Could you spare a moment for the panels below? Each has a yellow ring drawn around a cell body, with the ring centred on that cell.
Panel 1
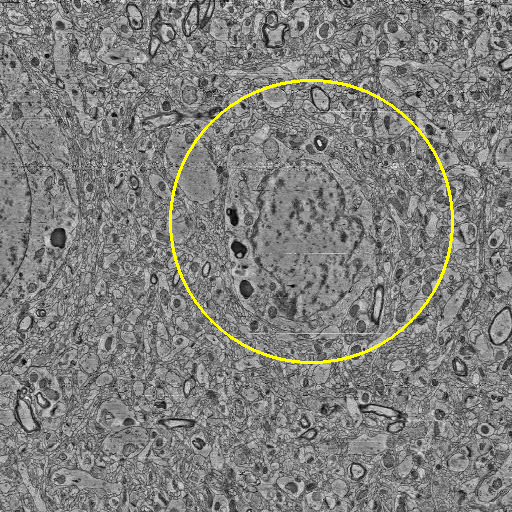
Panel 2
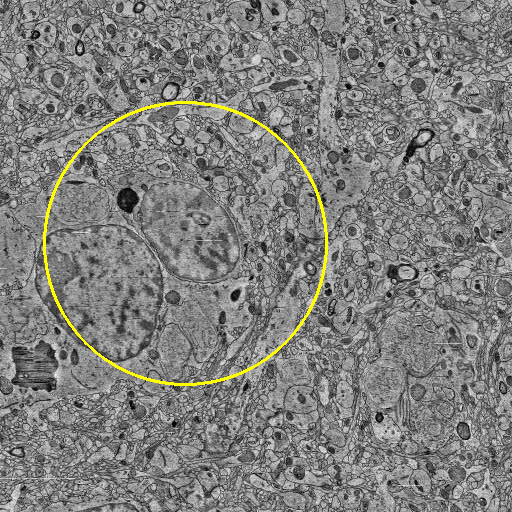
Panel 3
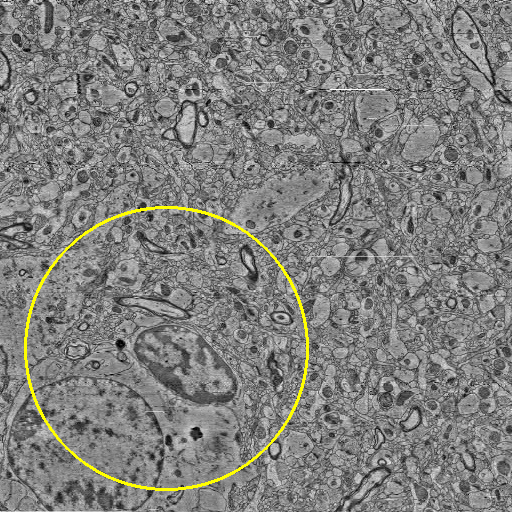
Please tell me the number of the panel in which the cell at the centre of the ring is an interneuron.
1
